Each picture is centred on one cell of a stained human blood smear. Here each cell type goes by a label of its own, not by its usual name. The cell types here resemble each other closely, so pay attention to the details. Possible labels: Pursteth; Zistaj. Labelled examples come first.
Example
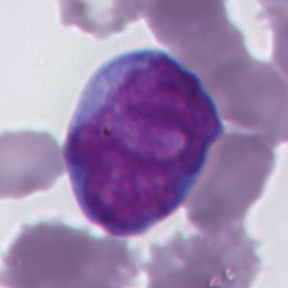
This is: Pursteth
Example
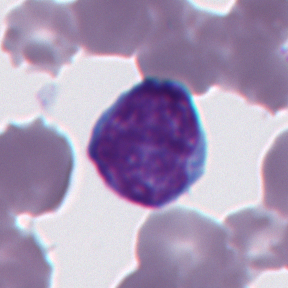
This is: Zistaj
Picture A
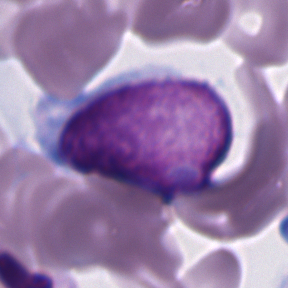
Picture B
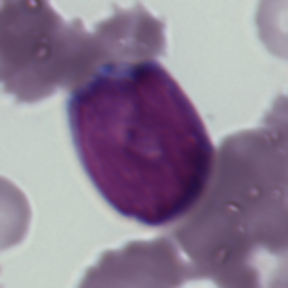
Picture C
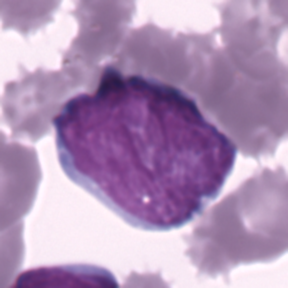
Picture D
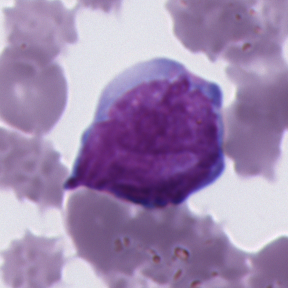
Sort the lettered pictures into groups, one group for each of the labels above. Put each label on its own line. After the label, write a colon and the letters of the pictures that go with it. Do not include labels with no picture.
Pursteth: A, B, C, D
